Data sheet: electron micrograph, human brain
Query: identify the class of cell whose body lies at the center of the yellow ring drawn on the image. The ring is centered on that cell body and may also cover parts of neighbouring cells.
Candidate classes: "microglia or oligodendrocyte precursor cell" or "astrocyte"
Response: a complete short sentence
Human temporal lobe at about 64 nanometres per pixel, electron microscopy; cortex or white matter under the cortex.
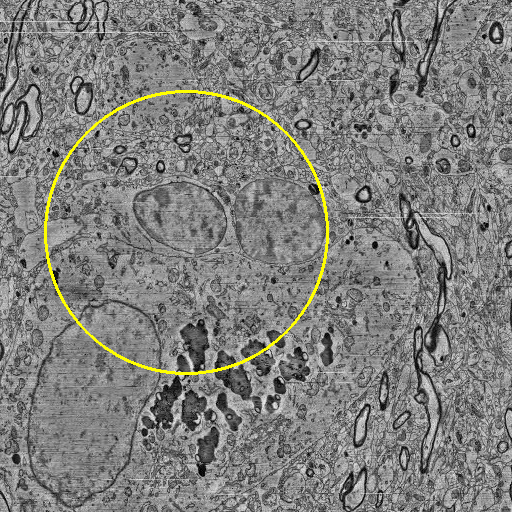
At the center of the ring lies a microglial cell or oligodendrocyte precursor cell.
